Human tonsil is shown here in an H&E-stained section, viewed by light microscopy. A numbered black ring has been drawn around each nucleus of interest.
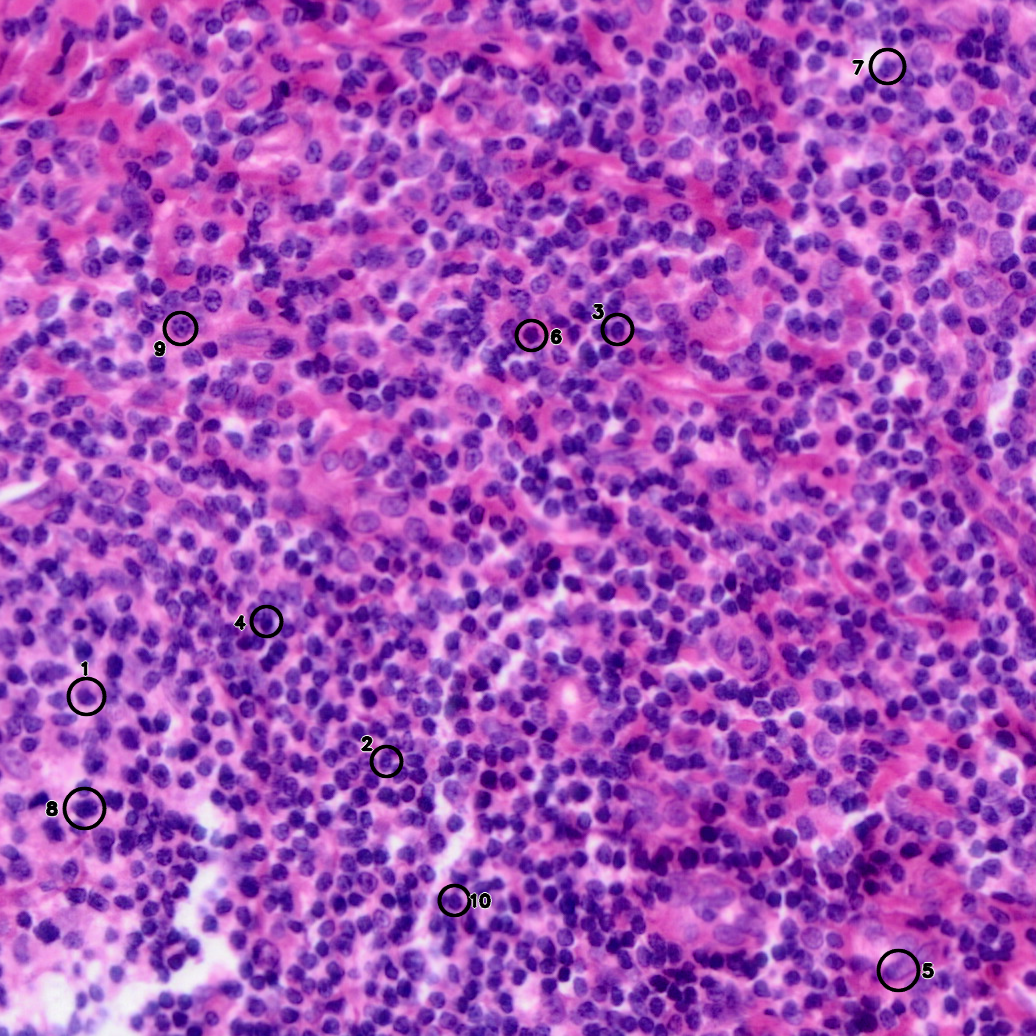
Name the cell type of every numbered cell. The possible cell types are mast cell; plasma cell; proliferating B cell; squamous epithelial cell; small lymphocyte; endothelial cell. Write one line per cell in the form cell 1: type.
cell 1: proliferating B cell
cell 2: small lymphocyte
cell 3: small lymphocyte
cell 4: small lymphocyte
cell 5: endothelial cell
cell 6: small lymphocyte
cell 7: small lymphocyte
cell 8: proliferating B cell
cell 9: plasma cell
cell 10: small lymphocyte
